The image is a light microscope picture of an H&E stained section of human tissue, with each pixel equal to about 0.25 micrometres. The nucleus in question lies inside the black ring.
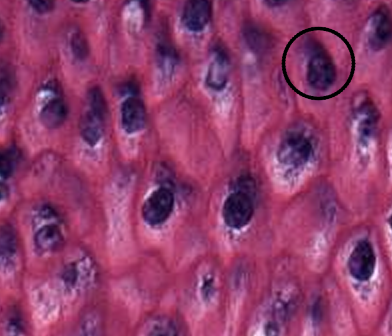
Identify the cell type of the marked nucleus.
squamous epithelial cell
